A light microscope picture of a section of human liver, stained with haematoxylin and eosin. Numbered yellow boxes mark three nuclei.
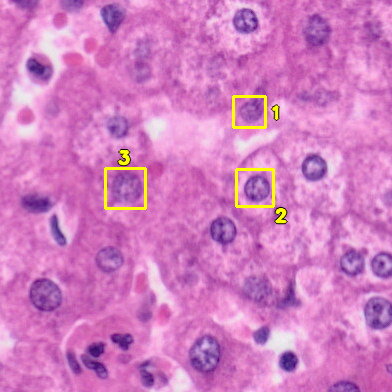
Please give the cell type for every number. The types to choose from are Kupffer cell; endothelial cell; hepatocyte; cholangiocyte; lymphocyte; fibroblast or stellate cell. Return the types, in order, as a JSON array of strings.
["Kupffer cell", "hepatocyte", "hepatocyte"]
